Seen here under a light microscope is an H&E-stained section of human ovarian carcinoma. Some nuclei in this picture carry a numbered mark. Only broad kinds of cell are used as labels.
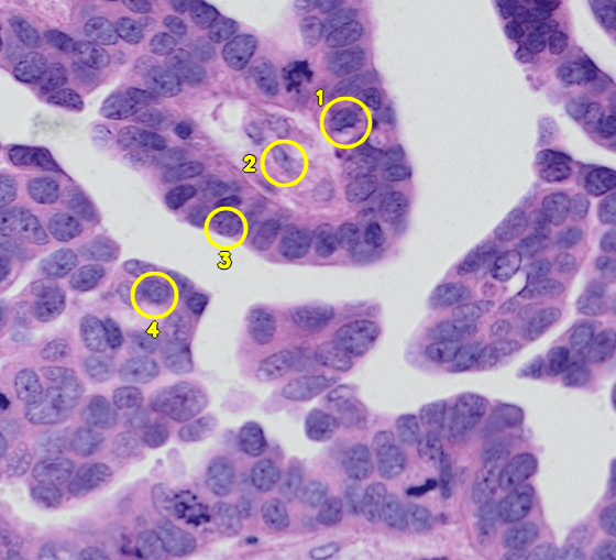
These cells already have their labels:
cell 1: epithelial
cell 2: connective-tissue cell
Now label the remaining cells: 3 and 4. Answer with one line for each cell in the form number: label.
3: epithelial
4: epithelial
